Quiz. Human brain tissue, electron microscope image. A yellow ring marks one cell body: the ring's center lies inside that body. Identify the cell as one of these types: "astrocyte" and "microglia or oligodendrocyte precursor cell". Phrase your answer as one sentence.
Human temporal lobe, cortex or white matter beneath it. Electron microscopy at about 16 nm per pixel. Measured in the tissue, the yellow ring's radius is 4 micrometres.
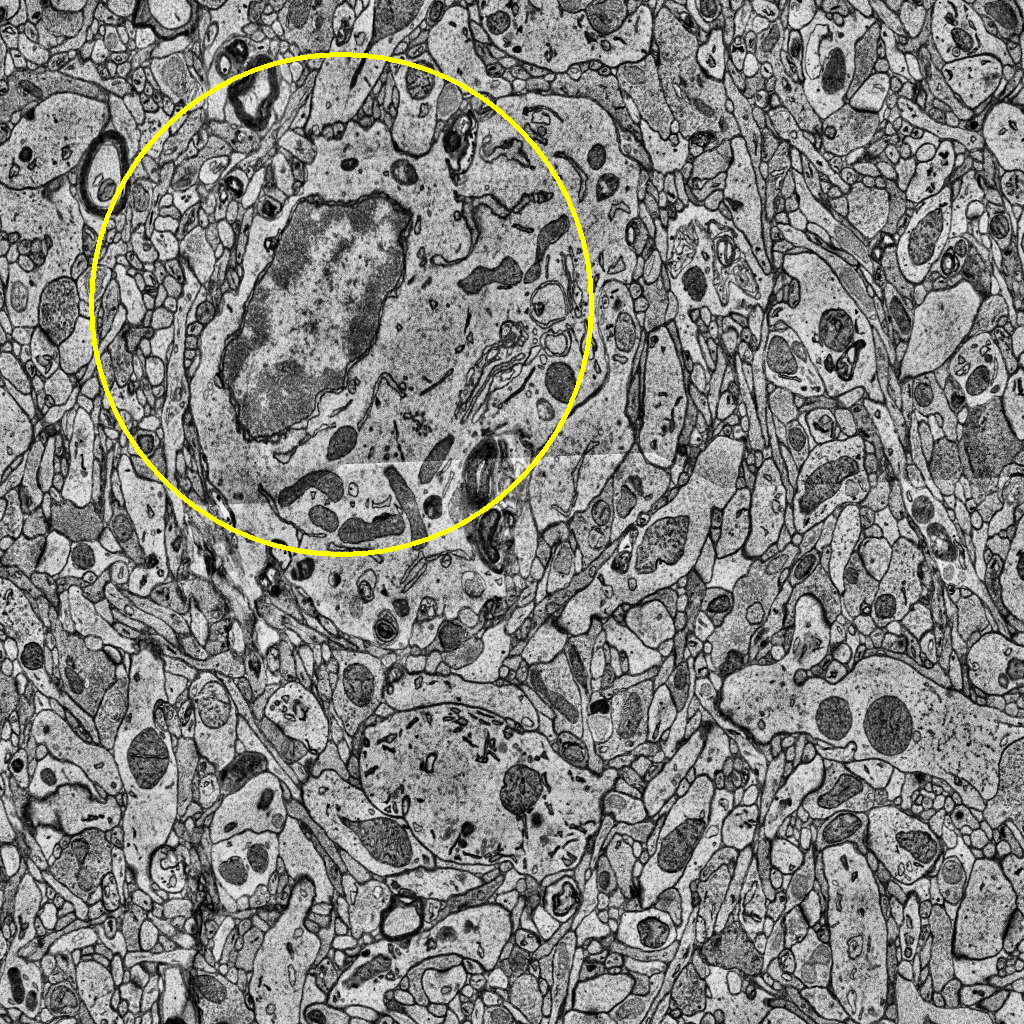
At the center of the ring sits a microglial cell or oligodendrocyte precursor cell.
